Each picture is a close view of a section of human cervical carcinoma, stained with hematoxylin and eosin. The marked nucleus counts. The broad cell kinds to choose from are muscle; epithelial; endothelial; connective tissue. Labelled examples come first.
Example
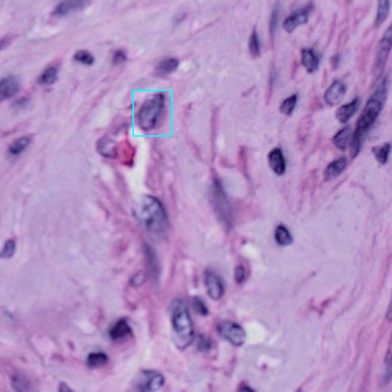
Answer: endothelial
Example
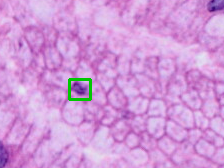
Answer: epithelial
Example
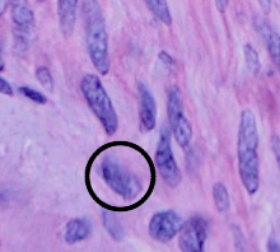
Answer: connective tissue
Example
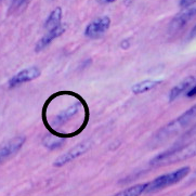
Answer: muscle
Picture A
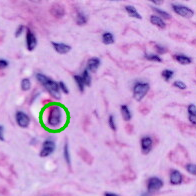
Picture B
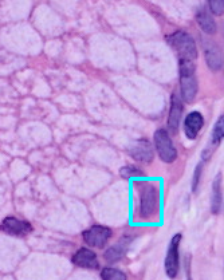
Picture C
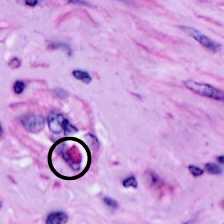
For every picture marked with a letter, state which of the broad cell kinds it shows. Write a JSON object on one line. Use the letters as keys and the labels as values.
{"A": "endothelial", "B": "epithelial", "C": "endothelial"}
